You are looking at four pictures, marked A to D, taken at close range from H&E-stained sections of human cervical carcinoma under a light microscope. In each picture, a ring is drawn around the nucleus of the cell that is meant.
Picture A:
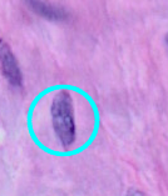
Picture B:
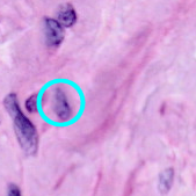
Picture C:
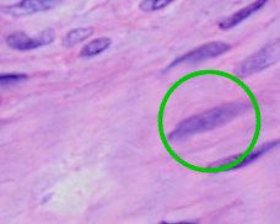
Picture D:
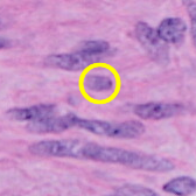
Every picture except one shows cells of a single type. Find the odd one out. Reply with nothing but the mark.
D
